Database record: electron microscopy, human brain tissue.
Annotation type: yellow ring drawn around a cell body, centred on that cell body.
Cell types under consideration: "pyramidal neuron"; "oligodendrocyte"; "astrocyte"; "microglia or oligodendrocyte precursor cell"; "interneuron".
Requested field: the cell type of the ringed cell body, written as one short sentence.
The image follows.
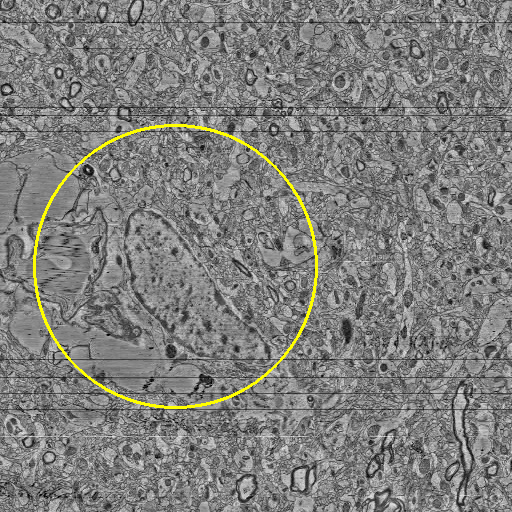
The ringed cell body represents a microglial cell or oligodendrocyte precursor cell.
